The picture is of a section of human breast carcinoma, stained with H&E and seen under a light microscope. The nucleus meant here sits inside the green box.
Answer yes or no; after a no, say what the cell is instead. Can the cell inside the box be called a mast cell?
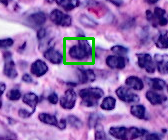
No, it is a lymphocyte.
